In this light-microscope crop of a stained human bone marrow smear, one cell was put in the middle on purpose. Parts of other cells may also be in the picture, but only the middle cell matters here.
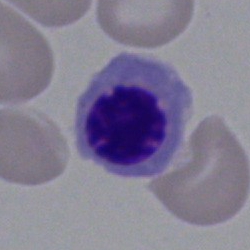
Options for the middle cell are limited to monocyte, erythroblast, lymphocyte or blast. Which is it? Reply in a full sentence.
The cell at the heart of this crop is an erythroblast.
